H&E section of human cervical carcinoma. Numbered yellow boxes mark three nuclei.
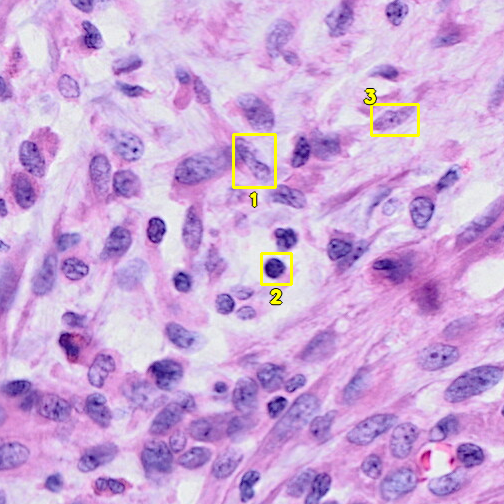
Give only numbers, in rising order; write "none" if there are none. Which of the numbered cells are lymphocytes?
2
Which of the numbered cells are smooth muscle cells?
none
